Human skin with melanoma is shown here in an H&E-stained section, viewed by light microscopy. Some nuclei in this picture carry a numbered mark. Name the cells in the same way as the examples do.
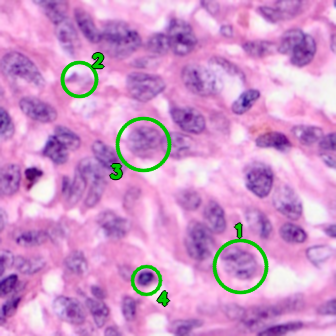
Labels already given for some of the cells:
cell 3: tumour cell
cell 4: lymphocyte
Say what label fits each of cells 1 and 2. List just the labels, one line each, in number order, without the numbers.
tumour cell
tumour cell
